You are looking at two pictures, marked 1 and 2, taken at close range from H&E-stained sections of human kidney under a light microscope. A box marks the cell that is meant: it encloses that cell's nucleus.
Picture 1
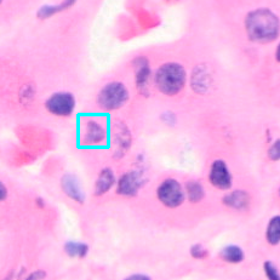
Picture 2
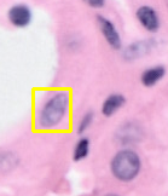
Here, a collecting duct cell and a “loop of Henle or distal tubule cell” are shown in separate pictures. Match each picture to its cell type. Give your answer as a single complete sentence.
The cell in picture 1 is a collecting duct cell, and the one in picture 2 is a “loop of Henle or distal tubule cell”.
